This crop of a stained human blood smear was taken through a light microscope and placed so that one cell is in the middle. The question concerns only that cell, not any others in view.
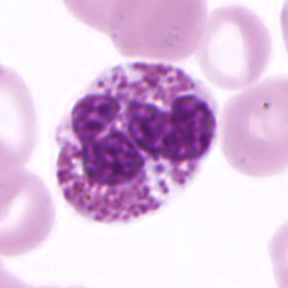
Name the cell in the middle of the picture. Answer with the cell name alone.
eosinophil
